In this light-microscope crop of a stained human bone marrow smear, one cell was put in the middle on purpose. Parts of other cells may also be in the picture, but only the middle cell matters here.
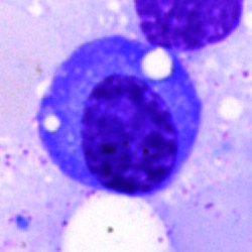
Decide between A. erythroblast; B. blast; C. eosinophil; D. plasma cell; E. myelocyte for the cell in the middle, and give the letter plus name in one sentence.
The correct identification, given in option D, is that the central cell is a plasma cell.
